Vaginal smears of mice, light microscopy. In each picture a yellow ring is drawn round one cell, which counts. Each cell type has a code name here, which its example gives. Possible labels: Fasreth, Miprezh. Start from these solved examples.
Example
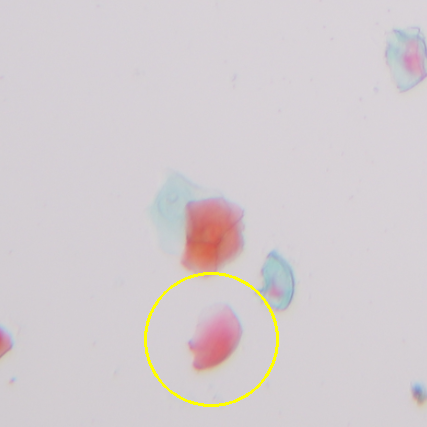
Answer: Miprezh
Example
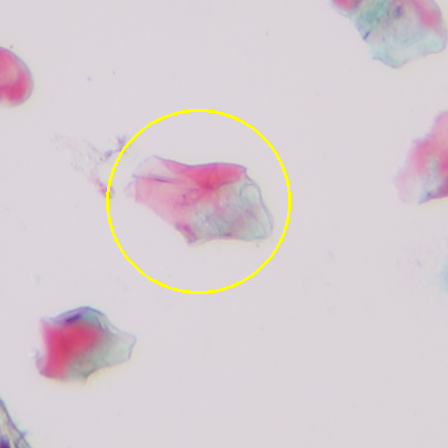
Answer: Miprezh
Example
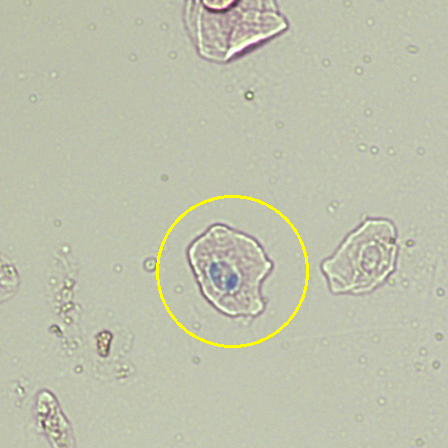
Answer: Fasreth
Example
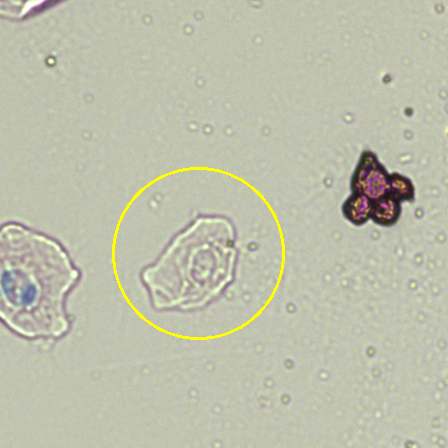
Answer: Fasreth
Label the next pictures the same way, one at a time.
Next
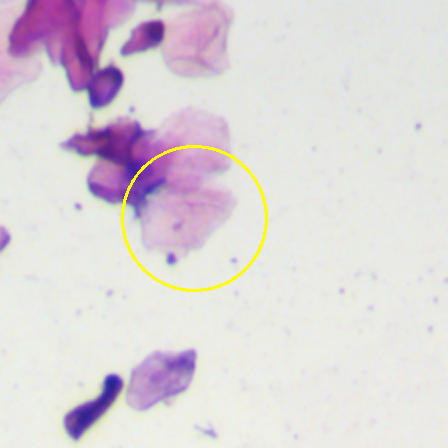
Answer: Miprezh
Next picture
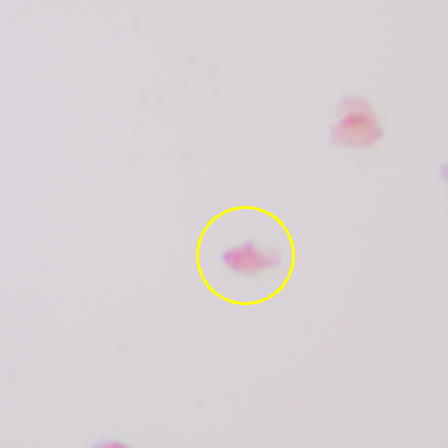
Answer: Miprezh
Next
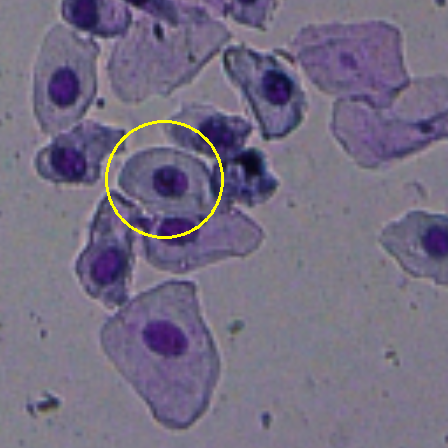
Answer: Fasreth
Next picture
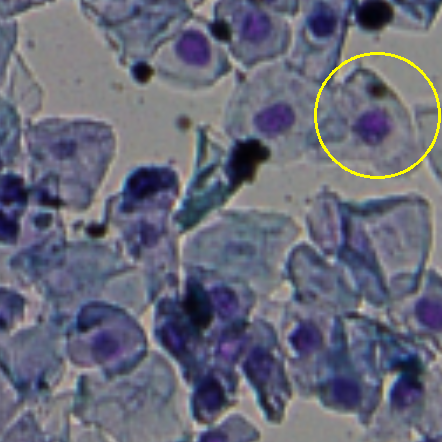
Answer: Fasreth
